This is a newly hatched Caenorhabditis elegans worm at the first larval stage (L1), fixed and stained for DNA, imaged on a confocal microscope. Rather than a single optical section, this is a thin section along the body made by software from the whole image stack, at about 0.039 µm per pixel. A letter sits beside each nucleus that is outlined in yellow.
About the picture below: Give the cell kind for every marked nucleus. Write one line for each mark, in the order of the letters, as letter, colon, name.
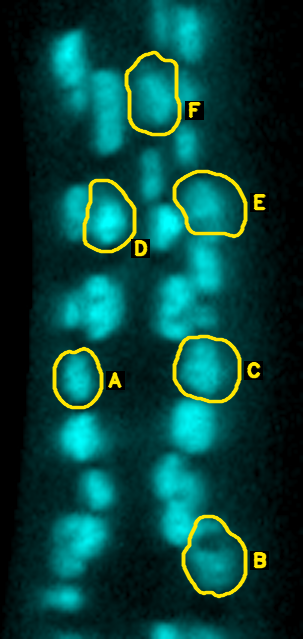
A: neuron
B: seam cell
C: neuron
D: pharyngeal muscle cell
E: seam cell
F: pharyngeal muscle cell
